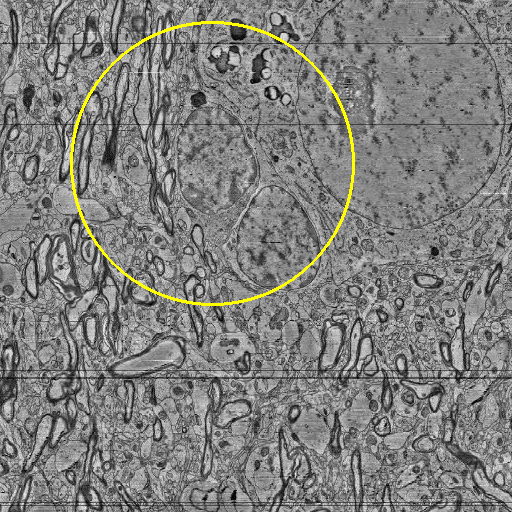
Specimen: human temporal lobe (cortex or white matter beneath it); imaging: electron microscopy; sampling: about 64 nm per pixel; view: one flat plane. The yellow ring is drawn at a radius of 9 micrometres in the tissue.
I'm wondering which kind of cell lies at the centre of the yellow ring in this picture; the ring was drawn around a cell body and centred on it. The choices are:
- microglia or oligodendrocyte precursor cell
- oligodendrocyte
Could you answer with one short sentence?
At the centre of the ring lies an oligodendrocyte.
